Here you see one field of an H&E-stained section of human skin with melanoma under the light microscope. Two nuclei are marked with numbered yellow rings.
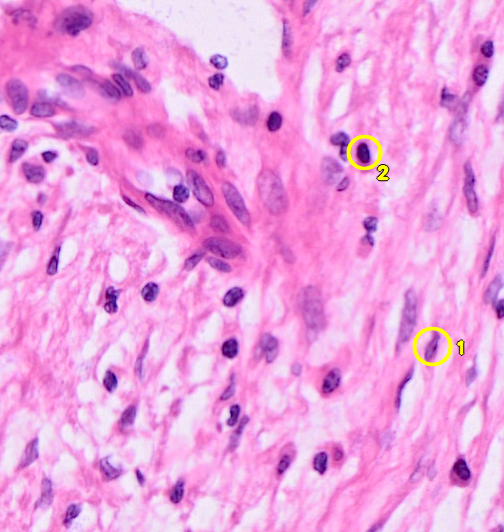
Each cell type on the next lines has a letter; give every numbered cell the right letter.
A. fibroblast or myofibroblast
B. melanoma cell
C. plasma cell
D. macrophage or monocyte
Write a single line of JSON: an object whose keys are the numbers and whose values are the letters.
{"1": "A", "2": "C"}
